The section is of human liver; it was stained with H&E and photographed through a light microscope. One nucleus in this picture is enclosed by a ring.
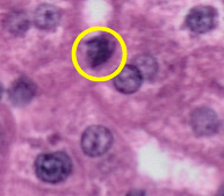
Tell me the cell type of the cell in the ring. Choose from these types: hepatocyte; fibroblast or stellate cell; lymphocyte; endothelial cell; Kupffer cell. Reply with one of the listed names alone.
fibroblast or stellate cell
